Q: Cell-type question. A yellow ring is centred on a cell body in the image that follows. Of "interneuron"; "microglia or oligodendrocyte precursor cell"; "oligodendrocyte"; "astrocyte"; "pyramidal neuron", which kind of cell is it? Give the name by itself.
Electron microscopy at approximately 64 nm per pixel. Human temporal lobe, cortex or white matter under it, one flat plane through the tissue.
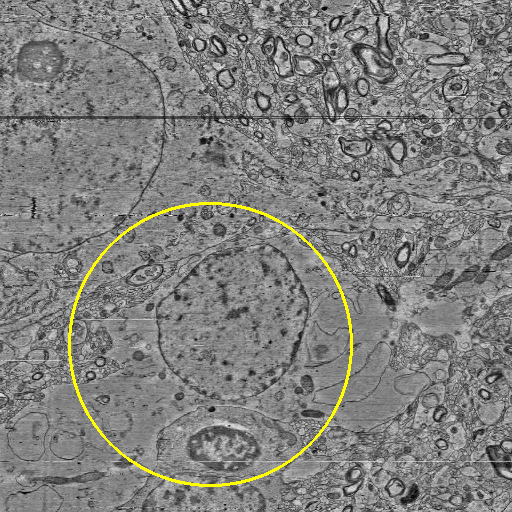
astrocyte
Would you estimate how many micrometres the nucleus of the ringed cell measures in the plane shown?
In this plane the nucleus measures roughly 10 micrometres across.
